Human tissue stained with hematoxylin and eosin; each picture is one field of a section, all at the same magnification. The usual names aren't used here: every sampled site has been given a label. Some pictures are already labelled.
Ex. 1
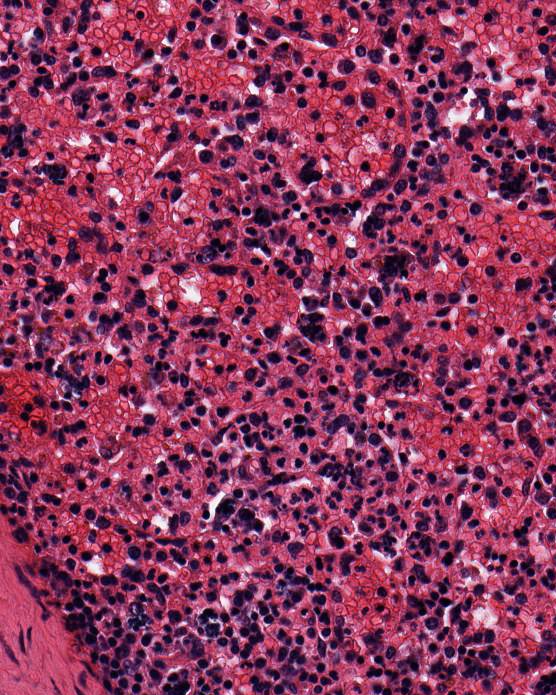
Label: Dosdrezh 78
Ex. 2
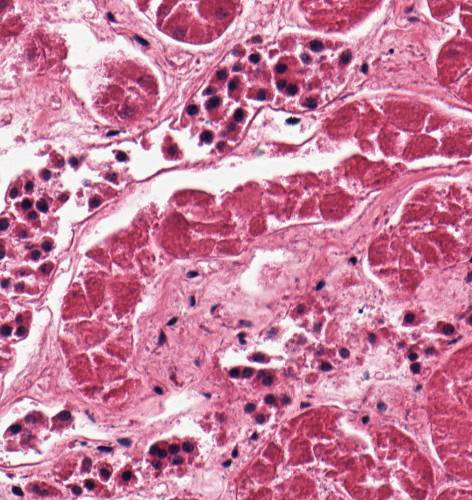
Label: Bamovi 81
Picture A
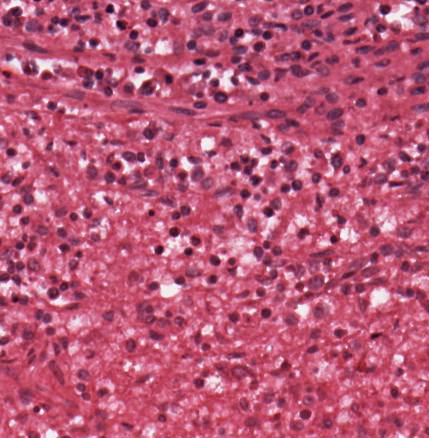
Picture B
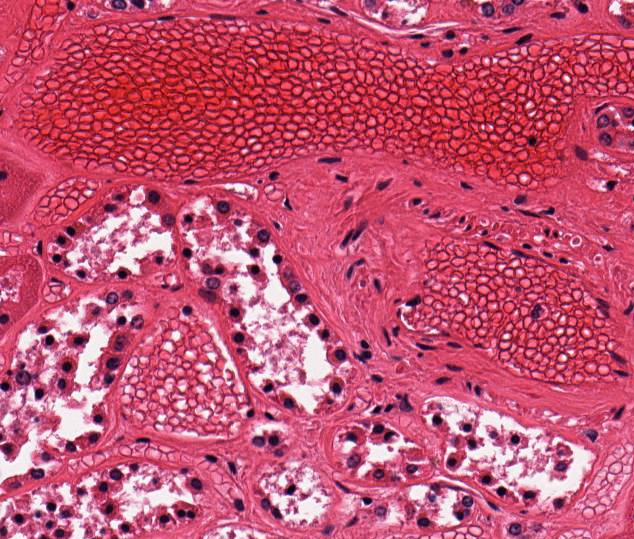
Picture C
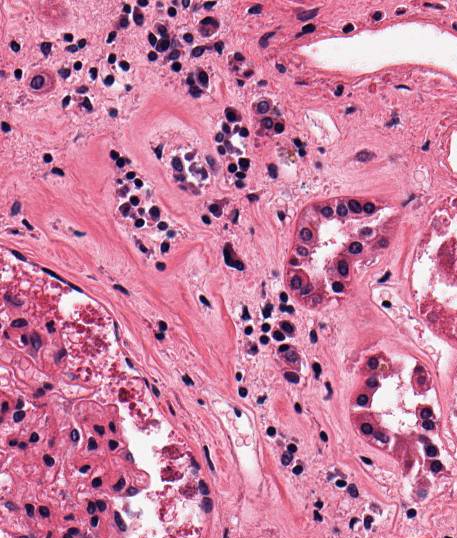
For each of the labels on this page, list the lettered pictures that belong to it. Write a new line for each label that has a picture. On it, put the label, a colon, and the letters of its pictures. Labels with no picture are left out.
Dosdrezh 78: A
Bamovi 81: B, C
